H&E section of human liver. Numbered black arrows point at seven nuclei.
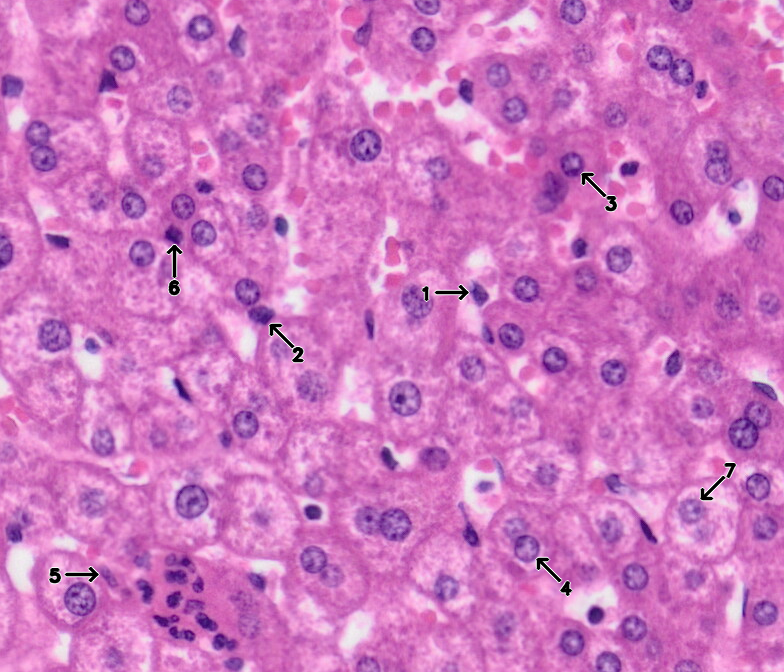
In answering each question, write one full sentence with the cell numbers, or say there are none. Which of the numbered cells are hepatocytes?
Cells 3, 4 and 7 are of one type, namely hepatocytes.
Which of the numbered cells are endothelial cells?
Of all the numbered cells, only cell 1 is an endothelial cell.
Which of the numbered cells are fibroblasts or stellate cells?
The cells that the numbers 2 and 6 belong to are fibroblasts or stellate cells.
